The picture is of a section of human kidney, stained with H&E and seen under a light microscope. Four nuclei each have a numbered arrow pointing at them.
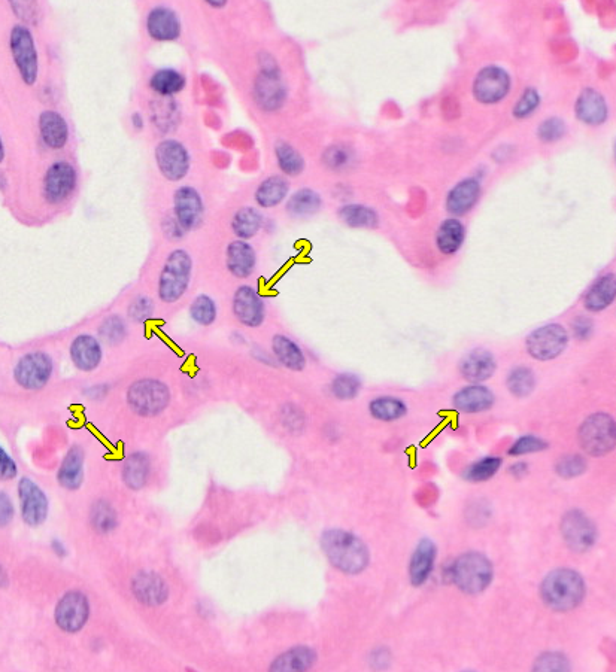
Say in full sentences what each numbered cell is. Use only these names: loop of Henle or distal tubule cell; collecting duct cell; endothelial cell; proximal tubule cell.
Cell 1 is a collecting duct cell, cell 2 is a collecting duct cell, cell 3 is a proximal tubule cell and cell 4 is a collecting duct cell.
